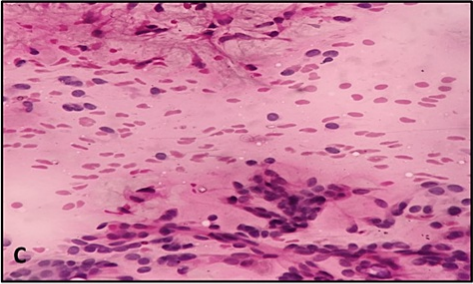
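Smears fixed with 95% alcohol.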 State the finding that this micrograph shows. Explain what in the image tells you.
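Pleomorphic adenoma. Clusters of cells with oval nuclei lie at the top and bottom of the field. A pale pink, fibrillary background matrix fills the middle. Scattered single oval to spindle-shaped nuclei lie within the matrix.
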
